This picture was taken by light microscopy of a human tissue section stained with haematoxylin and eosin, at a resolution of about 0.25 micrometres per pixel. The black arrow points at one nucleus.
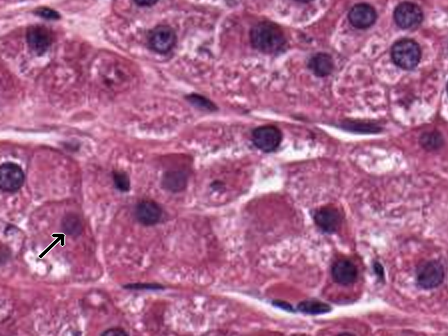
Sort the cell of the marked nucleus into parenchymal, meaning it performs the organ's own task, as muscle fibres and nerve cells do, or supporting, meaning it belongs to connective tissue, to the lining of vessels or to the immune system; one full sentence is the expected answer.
The owner of the marked nucleus is a parenchymal cell, namely an adrenal cortical cell.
